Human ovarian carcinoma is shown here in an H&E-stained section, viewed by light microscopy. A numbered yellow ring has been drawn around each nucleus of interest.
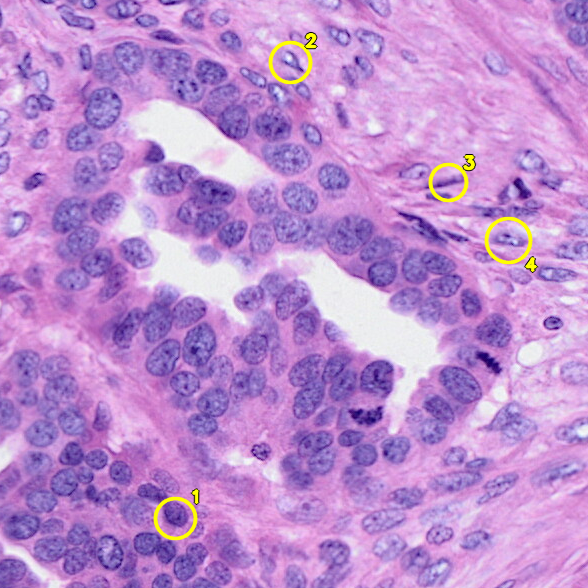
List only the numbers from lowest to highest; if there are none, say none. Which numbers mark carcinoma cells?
1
